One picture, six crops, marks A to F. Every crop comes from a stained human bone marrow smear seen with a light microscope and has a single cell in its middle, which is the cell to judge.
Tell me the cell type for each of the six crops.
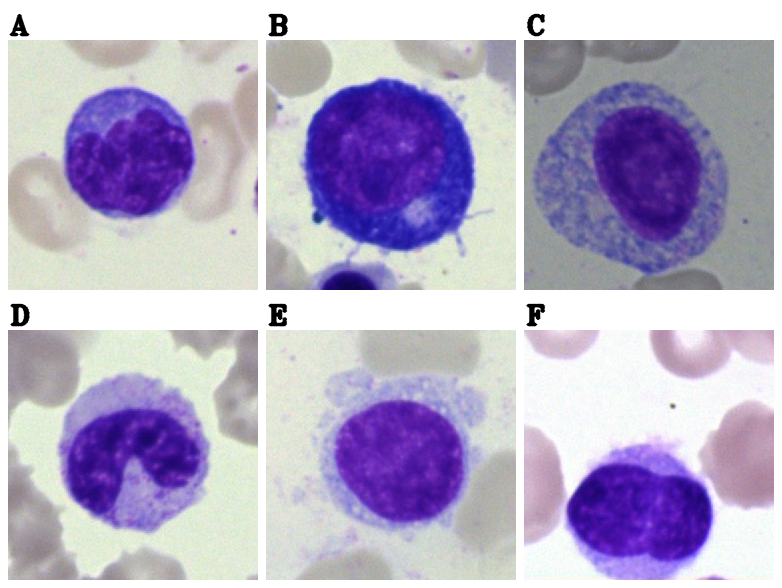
A: monocyte
B: proerythroblast
C: myelocyte
D: band neutrophil
E: hairy cell
F: hairy cell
